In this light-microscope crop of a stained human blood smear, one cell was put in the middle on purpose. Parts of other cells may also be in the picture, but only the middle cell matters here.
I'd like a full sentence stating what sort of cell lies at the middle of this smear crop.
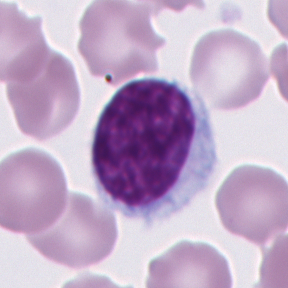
Within this crop, a hairy cell occupies the central position.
